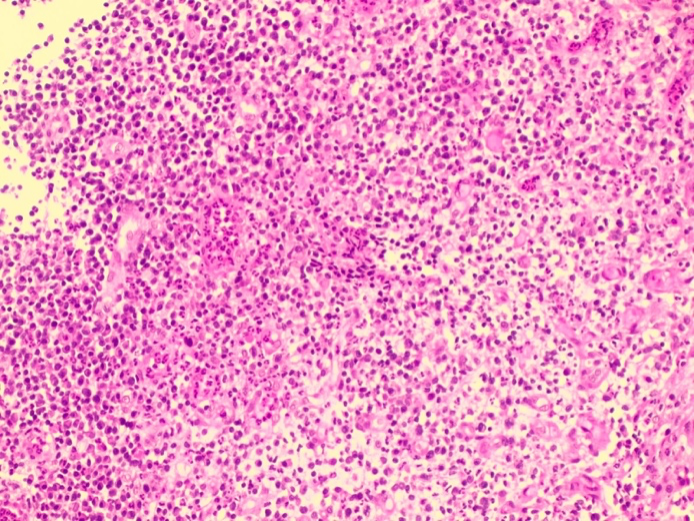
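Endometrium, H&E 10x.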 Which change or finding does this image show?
Dense inflammatory infiltrates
